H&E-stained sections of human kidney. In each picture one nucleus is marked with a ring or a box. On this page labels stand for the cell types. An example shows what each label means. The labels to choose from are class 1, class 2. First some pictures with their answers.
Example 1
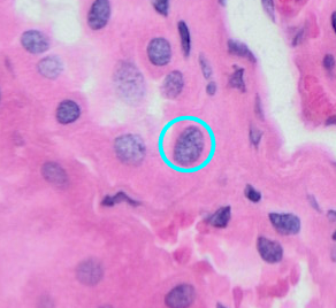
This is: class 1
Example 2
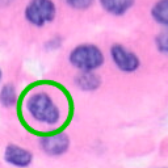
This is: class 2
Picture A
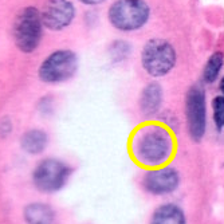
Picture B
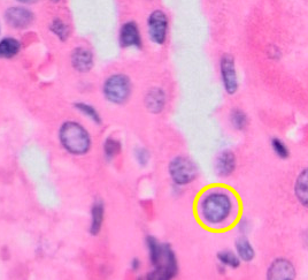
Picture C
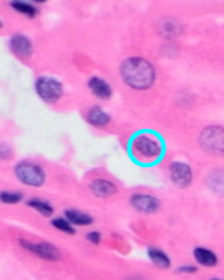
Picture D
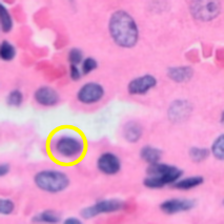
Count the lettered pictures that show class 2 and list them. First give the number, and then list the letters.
1: A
